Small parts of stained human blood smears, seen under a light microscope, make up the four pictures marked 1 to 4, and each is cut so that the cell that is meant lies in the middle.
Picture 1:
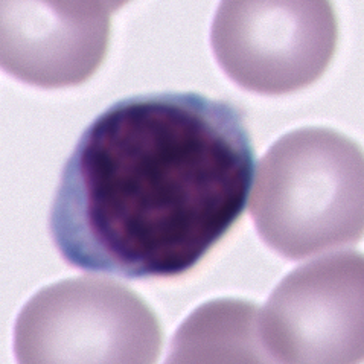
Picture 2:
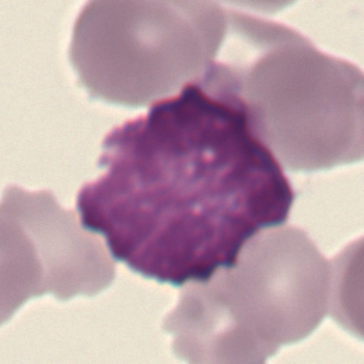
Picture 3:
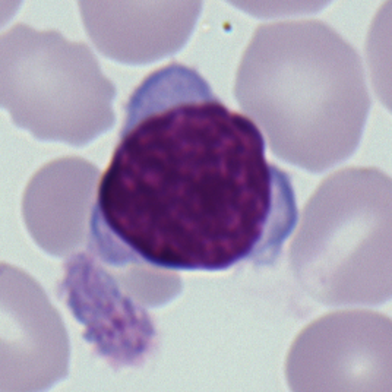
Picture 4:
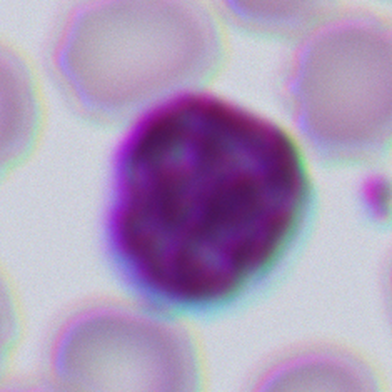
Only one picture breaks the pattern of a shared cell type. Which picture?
2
